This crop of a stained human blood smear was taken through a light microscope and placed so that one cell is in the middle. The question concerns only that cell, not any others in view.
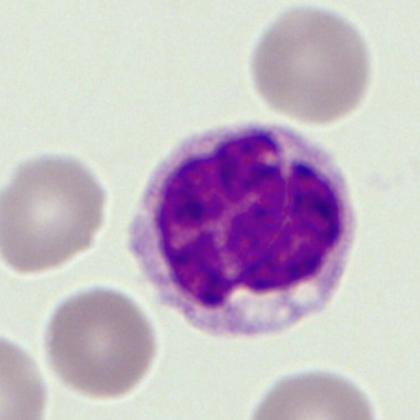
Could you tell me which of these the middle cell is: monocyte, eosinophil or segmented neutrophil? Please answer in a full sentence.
Within this crop, a monocyte occupies the central position.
